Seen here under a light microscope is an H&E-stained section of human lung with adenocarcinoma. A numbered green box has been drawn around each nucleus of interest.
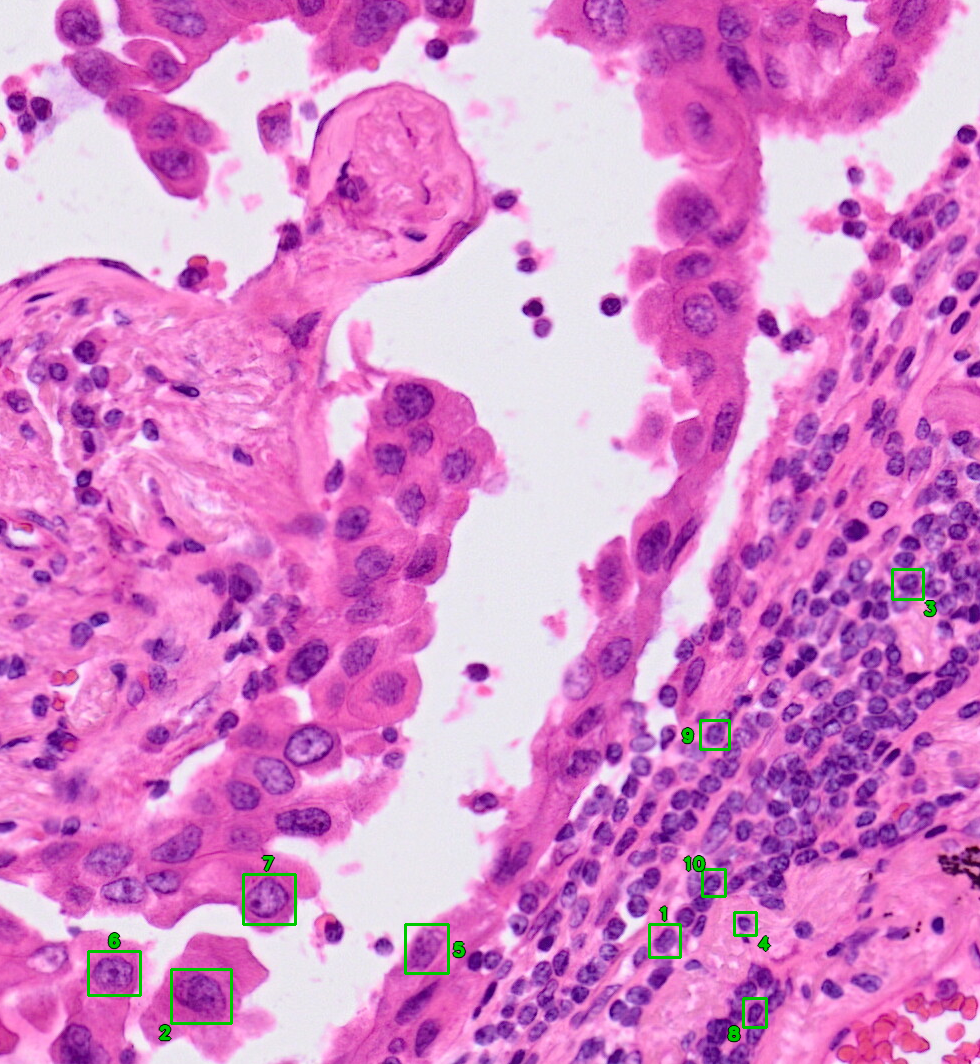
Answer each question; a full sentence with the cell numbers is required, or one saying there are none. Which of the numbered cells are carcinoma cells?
The cells with the numbers 2, 5, 6 and 7 are carcinoma cells.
